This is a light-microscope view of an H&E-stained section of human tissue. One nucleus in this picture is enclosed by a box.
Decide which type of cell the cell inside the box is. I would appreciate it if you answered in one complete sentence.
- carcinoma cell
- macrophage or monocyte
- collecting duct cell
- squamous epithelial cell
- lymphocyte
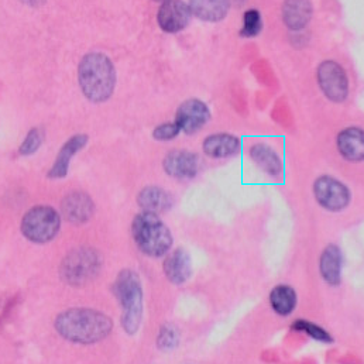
In the stained section, the cell inside the box is a collecting duct cell.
